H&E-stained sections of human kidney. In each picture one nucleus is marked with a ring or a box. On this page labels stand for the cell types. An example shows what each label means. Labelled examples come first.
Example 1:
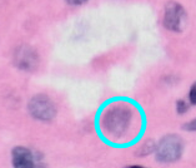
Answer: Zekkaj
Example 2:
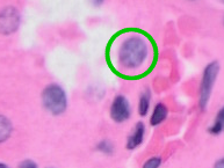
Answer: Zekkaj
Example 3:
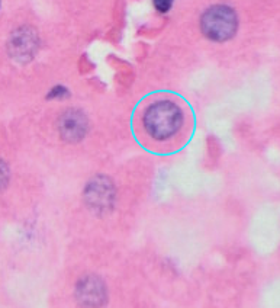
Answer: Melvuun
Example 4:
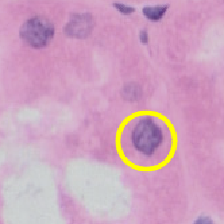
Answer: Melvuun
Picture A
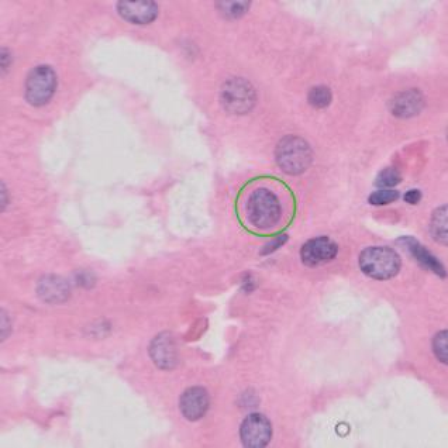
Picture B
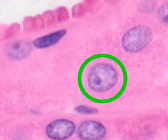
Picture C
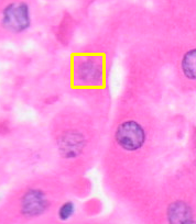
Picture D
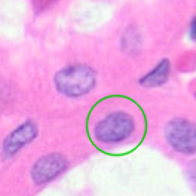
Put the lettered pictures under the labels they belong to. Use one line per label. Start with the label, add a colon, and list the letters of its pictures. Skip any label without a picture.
Zekkaj: D
Melvuun: A, B, C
